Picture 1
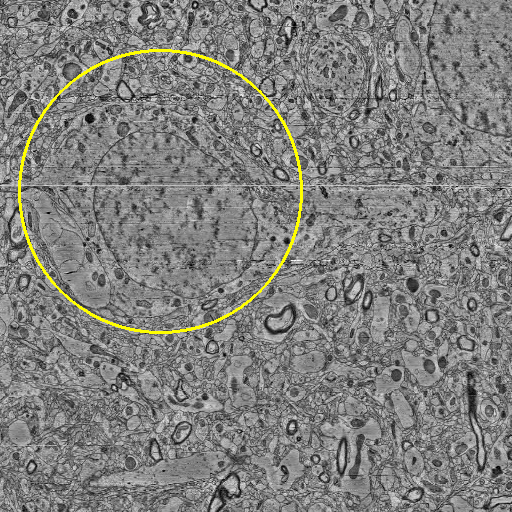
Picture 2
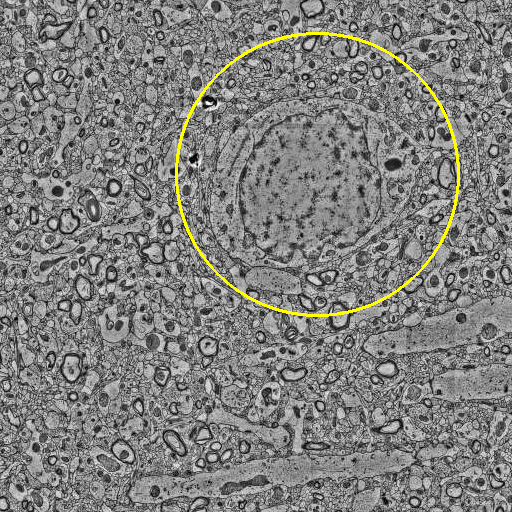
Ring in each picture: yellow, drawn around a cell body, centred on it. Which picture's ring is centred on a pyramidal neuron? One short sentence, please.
Picture 1 is the one.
